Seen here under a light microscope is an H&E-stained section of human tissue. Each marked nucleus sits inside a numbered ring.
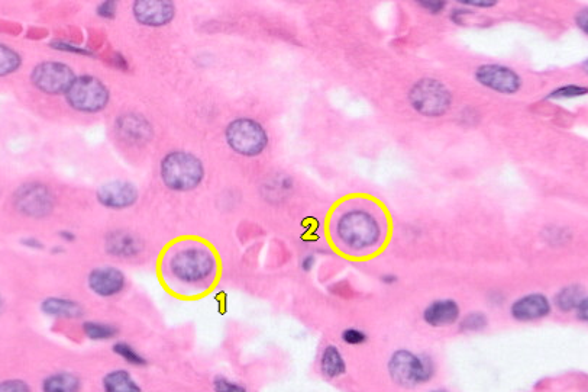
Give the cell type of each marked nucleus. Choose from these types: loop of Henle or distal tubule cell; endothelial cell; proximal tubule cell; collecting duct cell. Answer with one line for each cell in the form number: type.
1: loop of Henle or distal tubule cell
2: proximal tubule cell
